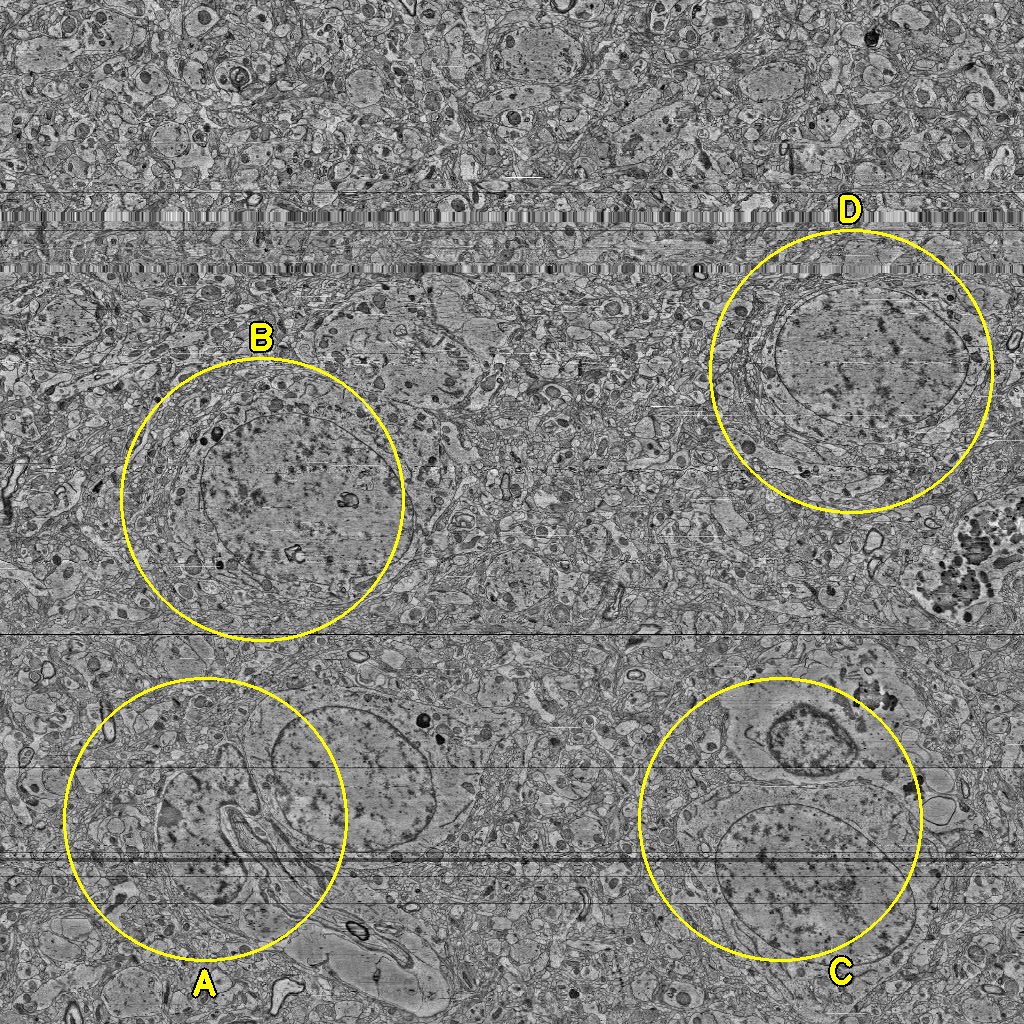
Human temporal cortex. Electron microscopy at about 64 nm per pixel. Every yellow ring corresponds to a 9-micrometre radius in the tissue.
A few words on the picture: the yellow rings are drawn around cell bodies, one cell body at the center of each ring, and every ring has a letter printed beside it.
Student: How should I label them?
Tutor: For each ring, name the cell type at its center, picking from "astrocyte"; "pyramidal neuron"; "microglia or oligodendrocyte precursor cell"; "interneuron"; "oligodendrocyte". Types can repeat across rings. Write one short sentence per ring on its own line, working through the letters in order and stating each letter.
In ring A, the central cell is a microglial cell or oligodendrocyte precursor cell.
In ring B, the central cell is a pyramidal neuron.
In ring C, the central cell is a pyramidal neuron.
In ring D, the central cell is a pyramidal neuron.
